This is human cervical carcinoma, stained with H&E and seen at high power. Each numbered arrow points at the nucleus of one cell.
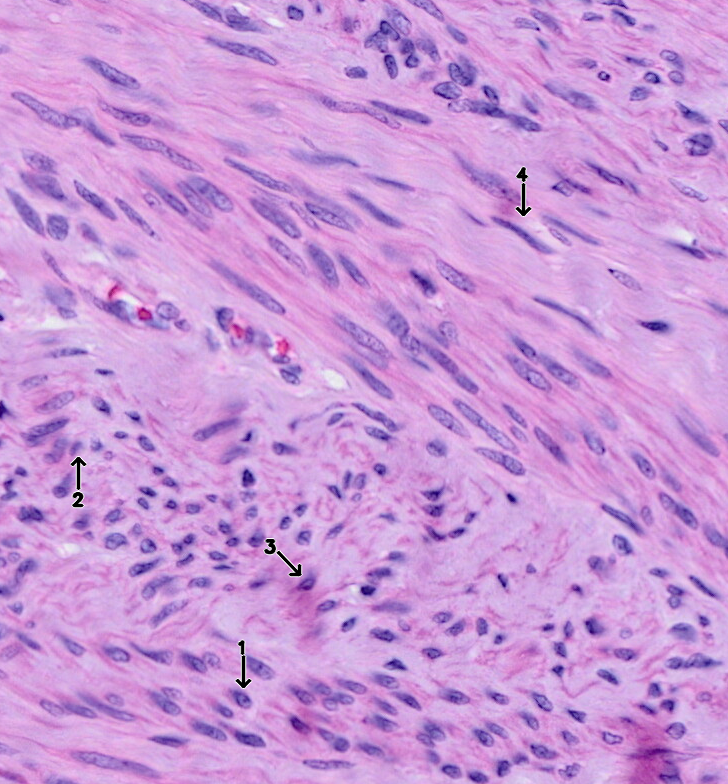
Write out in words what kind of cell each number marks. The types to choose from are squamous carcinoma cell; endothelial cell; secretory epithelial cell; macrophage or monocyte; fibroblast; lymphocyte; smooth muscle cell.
Cells 1, 2 and 3 are smooth muscle cells. Cell 4 is a fibroblast.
